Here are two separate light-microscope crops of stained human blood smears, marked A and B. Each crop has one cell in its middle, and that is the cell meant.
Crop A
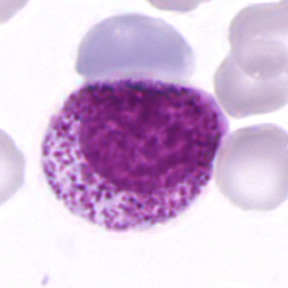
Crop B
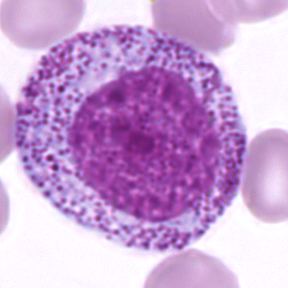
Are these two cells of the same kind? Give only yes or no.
yes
